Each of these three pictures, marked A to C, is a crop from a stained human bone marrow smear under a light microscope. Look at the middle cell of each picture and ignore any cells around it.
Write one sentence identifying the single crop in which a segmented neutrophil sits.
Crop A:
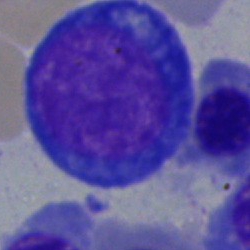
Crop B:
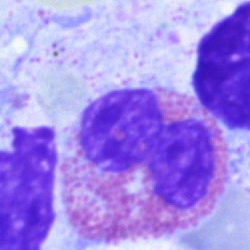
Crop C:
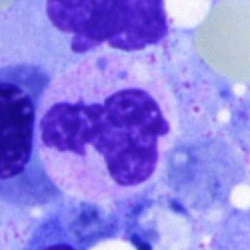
So the crop with a segmented neutrophil at its center is crop C.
